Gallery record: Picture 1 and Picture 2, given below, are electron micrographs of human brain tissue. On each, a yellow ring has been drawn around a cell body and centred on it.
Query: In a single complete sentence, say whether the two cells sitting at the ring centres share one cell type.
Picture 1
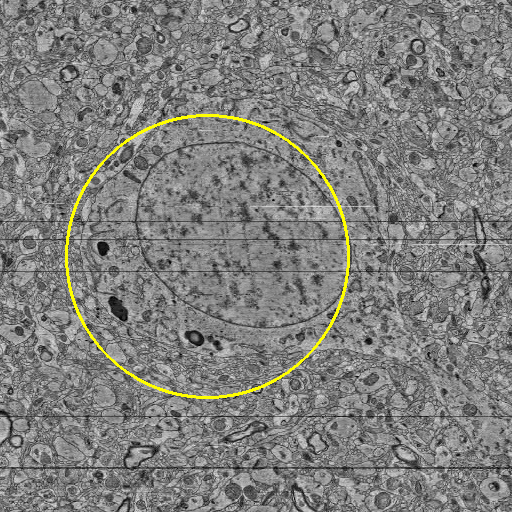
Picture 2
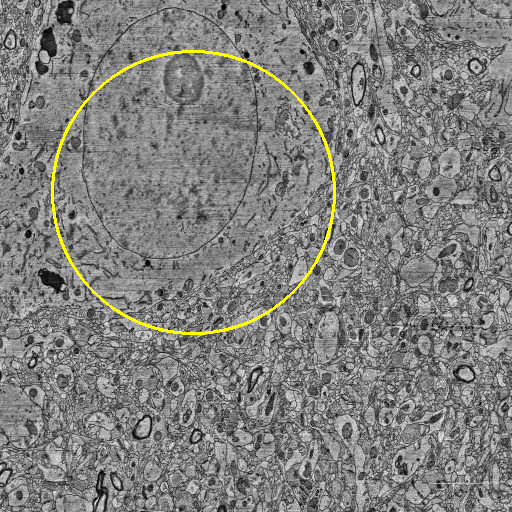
Yes, in both pictures the cell at the ring's centre is of one and the same type.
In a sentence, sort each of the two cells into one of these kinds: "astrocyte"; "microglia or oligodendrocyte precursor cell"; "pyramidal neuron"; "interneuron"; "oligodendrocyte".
Each of the two cells is a pyramidal neuron.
